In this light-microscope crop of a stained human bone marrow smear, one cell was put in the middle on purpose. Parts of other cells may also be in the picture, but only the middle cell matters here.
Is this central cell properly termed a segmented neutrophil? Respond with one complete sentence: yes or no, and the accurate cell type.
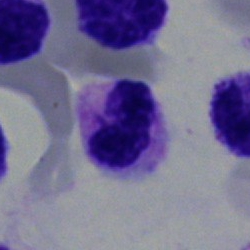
Yes, the cell at the crop's center is a segmented neutrophil.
